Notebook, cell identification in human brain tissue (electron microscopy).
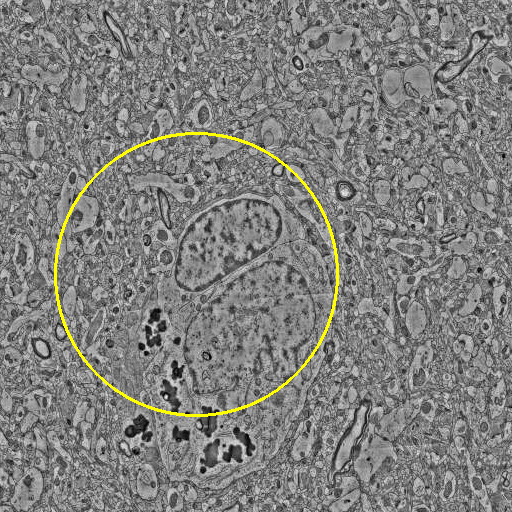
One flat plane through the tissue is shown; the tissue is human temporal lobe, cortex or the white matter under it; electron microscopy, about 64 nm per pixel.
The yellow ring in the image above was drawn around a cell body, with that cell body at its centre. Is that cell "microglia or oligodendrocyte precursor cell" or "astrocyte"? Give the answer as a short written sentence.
The cell in the ring is a microglial cell or oligodendrocyte precursor cell.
